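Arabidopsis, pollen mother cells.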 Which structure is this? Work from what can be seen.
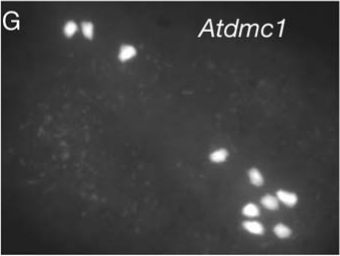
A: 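Univalents. Small, compact, separate chromosomes. They lie in two unequal groups, few at top left and more at lower right.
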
